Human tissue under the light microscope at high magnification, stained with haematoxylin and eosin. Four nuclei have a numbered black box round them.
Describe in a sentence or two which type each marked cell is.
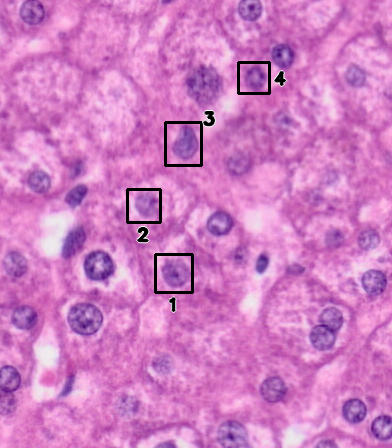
Cells 1, 2 and 4 are hepatocytes. Cell 3 is an endothelial cell.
